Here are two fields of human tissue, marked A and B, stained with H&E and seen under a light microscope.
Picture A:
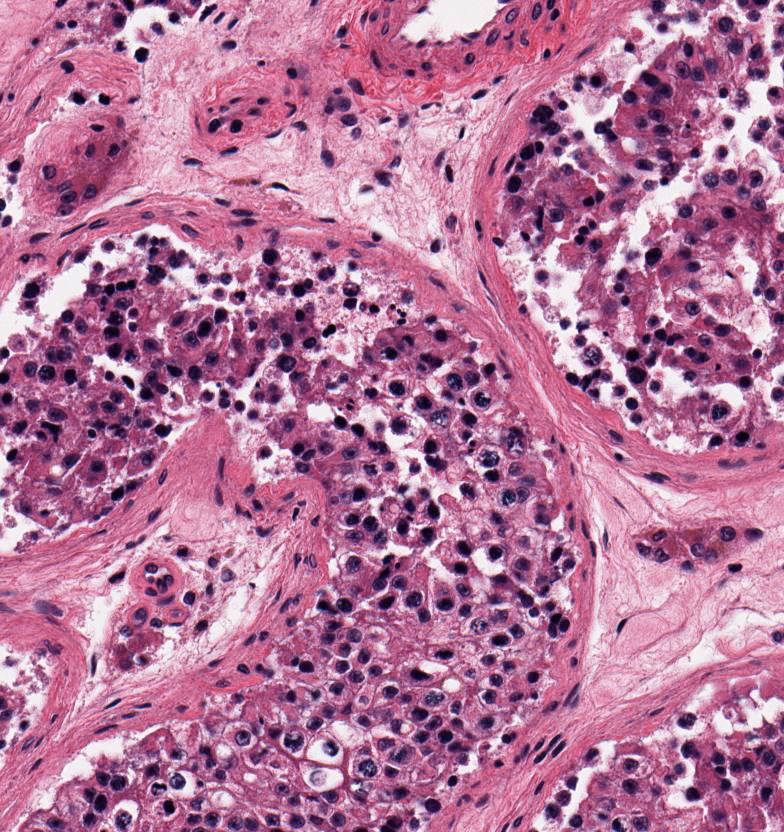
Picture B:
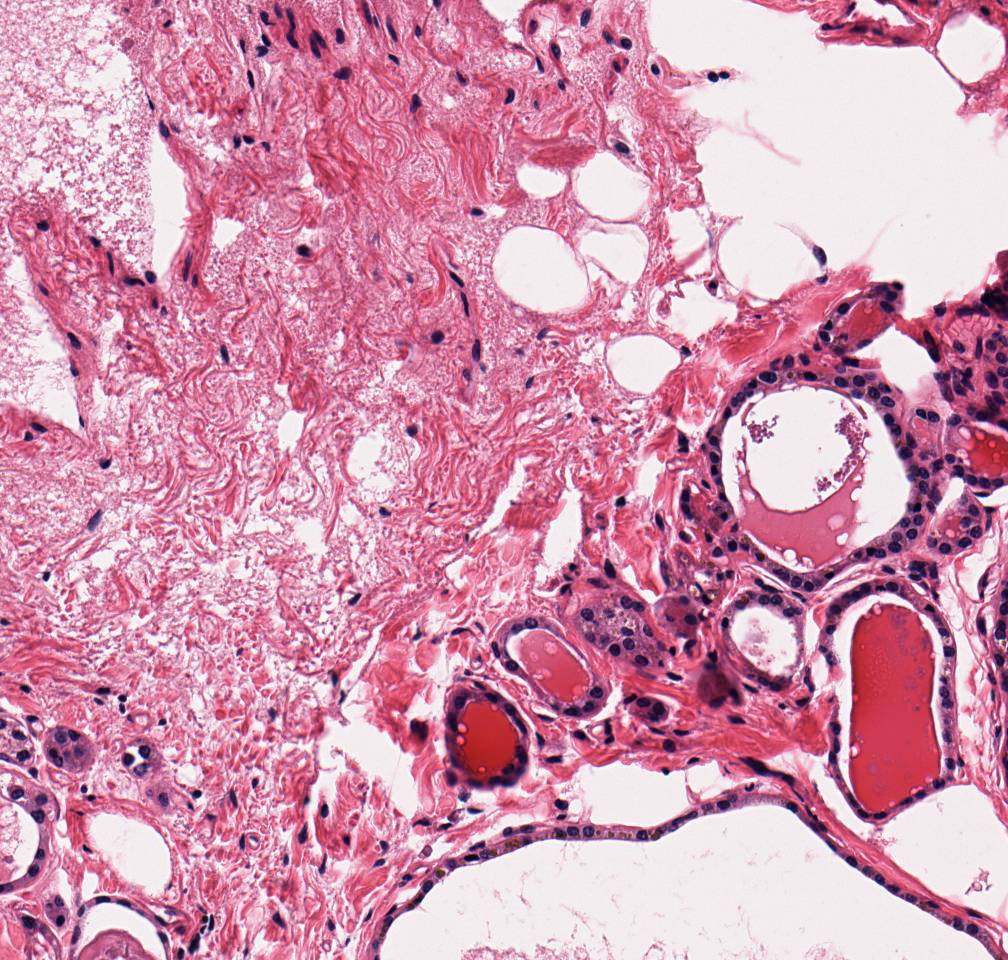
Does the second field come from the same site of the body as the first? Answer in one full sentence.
No: picture A comes from the testis, but picture B comes from the thyroid.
